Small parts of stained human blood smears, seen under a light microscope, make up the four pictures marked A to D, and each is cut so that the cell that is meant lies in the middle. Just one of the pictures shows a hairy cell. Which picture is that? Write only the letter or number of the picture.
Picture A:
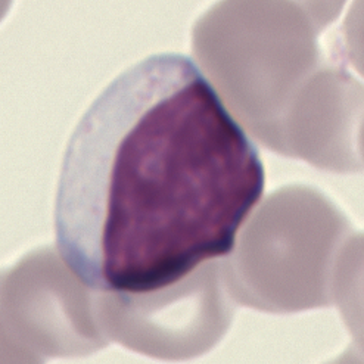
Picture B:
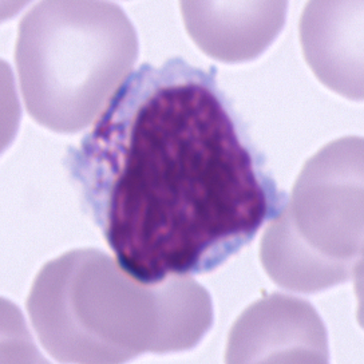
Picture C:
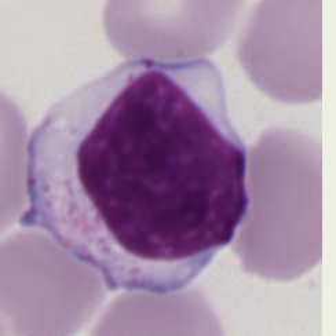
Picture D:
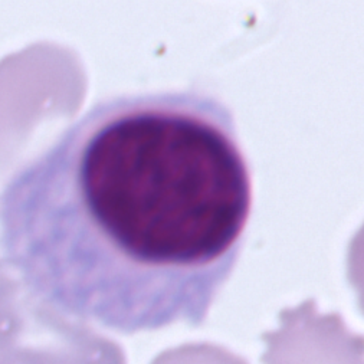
D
